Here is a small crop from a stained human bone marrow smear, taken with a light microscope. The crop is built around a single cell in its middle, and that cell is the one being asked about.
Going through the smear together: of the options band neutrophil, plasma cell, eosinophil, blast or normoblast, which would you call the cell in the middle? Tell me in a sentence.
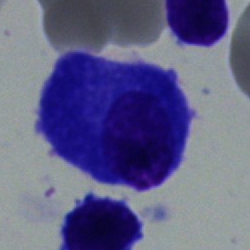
Positioned in the middle of the crop is a plasma cell.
